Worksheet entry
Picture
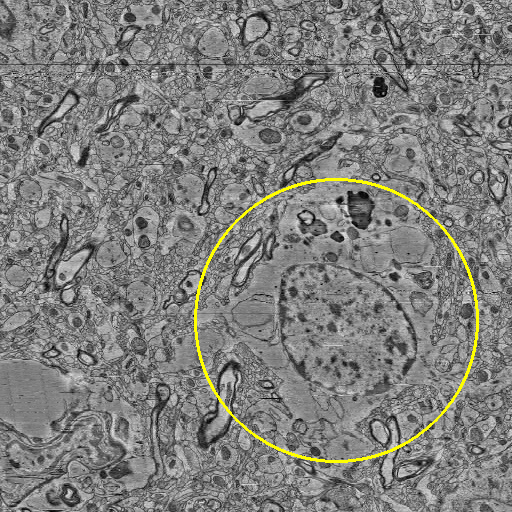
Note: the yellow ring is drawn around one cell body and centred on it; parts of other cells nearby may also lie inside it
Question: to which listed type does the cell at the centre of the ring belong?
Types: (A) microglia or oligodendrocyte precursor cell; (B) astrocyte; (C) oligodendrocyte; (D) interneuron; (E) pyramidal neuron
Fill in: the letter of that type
B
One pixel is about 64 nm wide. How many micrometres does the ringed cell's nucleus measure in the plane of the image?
In this plane, approximately 10 by 8 micrometers.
